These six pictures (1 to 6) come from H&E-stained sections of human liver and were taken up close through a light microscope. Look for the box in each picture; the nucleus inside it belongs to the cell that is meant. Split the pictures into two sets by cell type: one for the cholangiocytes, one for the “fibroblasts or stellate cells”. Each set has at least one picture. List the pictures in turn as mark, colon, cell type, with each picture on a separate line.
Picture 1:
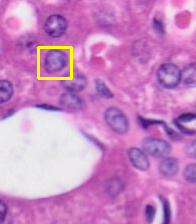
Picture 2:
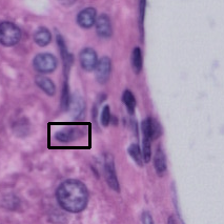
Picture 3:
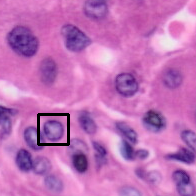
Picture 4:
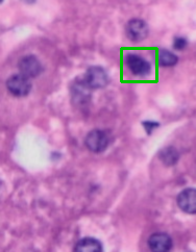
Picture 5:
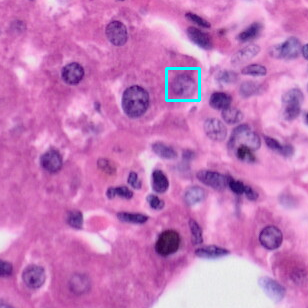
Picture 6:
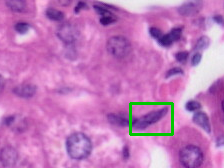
1: cholangiocyte
2: fibroblast or stellate cell
3: cholangiocyte
4: fibroblast or stellate cell
5: cholangiocyte
6: fibroblast or stellate cell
